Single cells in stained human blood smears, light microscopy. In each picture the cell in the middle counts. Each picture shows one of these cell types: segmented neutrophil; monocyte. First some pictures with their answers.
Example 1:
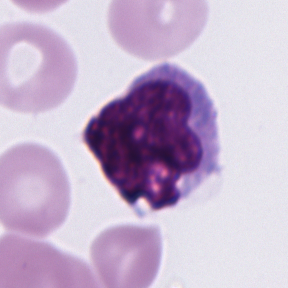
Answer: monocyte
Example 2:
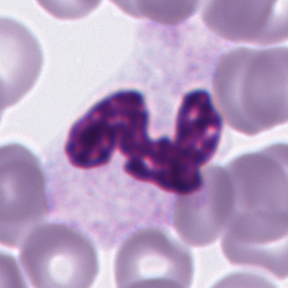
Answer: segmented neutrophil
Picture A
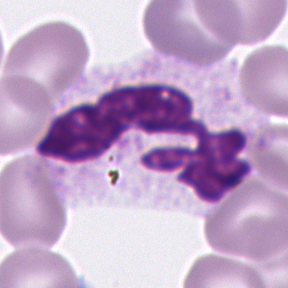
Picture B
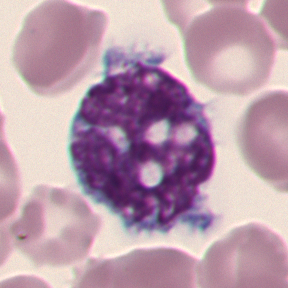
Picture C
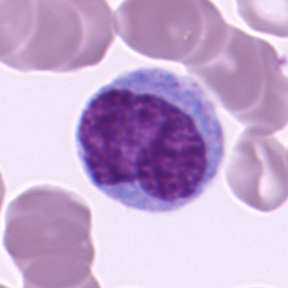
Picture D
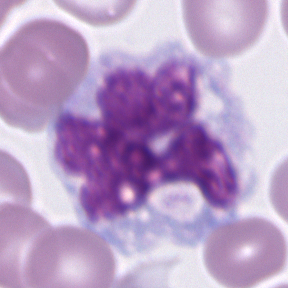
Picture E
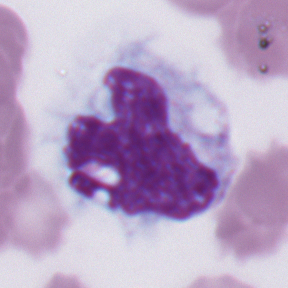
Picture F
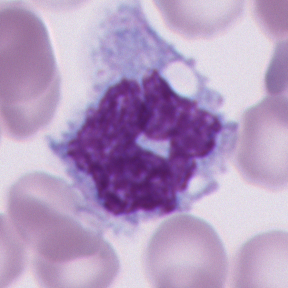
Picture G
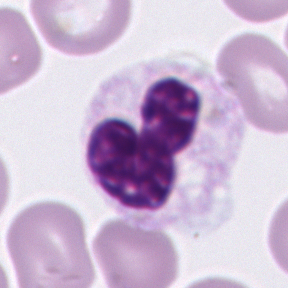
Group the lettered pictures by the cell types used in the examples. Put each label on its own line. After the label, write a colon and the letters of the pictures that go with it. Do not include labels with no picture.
segmented neutrophil: A, G
monocyte: B, C, D, E, F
